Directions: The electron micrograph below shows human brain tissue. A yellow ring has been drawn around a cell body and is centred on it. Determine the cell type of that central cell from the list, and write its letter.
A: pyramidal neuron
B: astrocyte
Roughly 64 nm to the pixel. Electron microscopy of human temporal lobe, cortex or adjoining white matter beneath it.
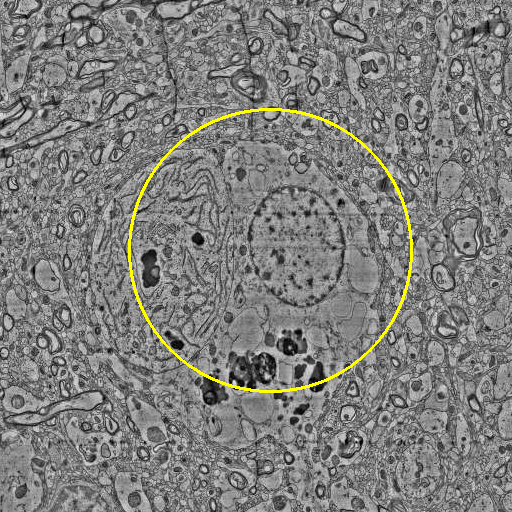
B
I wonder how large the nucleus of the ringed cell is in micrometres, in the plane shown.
About 8 by 6 micrometres in this plane.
